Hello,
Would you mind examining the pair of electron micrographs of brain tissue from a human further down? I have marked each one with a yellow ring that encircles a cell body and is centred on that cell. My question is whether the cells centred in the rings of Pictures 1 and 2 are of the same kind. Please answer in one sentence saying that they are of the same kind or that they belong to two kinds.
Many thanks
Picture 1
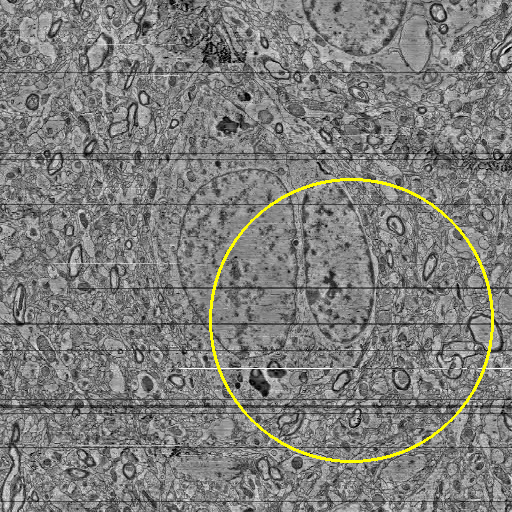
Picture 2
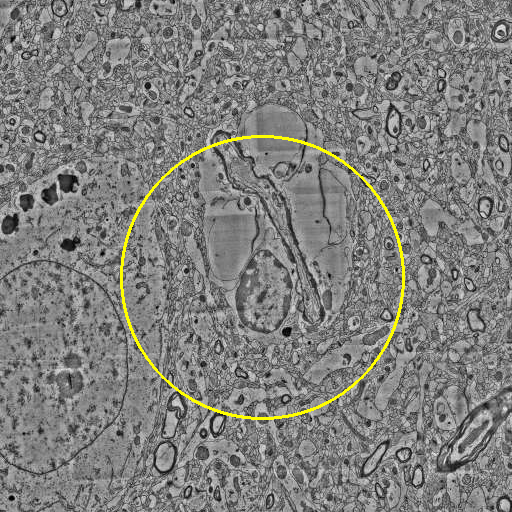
In Pictures 1 and 2, the cells at the heart of the rings are of the same kind.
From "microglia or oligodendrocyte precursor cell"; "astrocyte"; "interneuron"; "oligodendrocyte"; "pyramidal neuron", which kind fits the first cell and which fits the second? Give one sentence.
In each picture the ringed cell is a microglial cell or oligodendrocyte precursor cell.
